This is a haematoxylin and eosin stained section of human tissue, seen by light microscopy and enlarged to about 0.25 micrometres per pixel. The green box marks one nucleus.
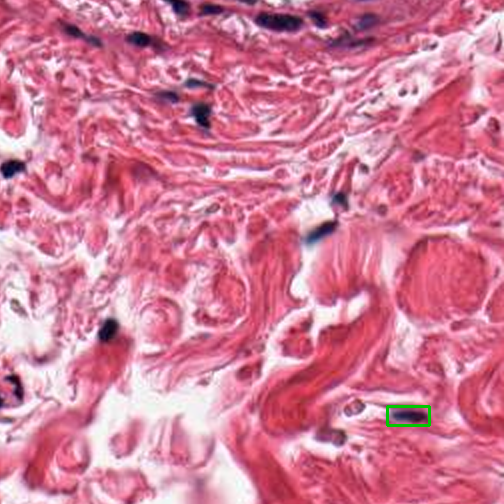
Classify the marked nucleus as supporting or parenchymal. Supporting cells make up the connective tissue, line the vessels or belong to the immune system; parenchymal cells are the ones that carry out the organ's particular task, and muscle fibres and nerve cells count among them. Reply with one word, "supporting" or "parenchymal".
supporting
